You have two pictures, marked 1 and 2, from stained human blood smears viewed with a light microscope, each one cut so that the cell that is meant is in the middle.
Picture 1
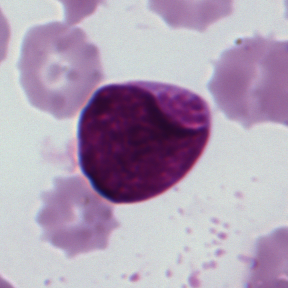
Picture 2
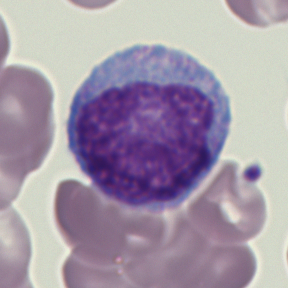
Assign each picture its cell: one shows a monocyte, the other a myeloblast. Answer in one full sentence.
Picture 1 shows a myeloblast and picture 2 shows a monocyte.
